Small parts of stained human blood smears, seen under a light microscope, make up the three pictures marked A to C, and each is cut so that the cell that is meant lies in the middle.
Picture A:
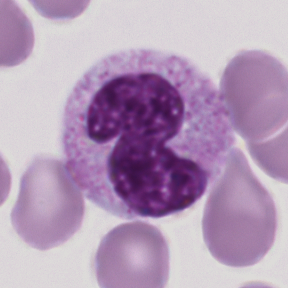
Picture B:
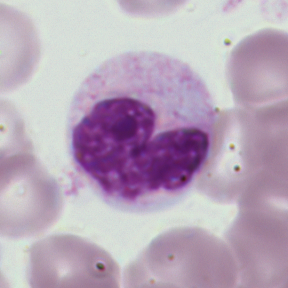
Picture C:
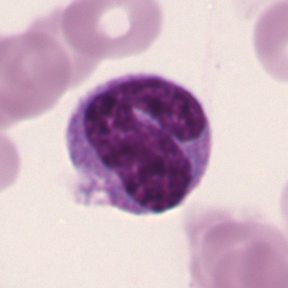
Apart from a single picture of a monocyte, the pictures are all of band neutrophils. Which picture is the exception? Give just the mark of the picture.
C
